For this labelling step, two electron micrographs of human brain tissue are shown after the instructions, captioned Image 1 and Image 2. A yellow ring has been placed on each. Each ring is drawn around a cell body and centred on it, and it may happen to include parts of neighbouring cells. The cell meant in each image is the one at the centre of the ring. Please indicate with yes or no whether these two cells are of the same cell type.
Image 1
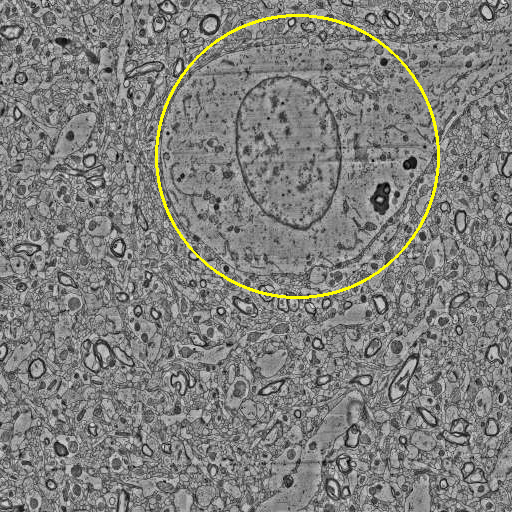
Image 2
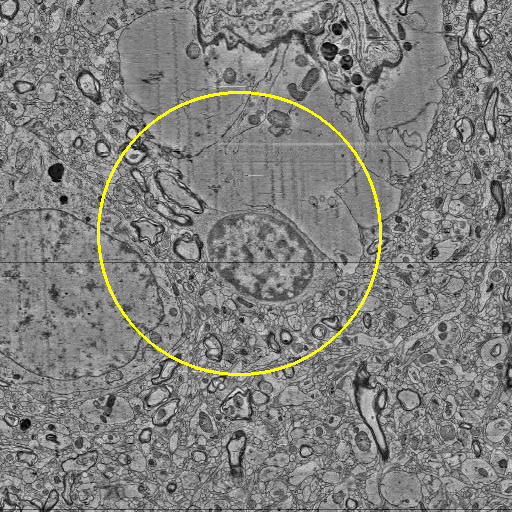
no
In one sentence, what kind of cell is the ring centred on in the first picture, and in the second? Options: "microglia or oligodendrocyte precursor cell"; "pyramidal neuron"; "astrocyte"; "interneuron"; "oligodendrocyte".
The cell at the centre of the second ring is an oligodendrocyte; the first ring's cell is a pyramidal neuron.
